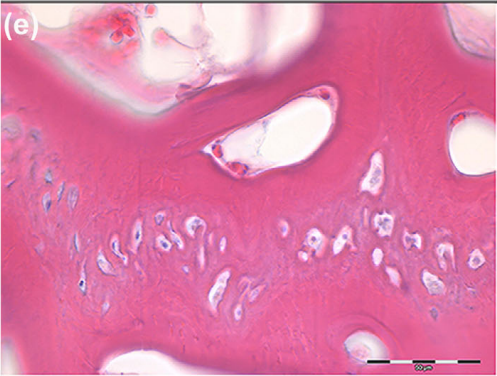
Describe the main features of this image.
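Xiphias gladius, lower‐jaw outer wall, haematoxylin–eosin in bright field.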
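A lamina of dense pink calcified bone matrix crossed by a band of fibroblast-like cells lying in small clear lacunae. The cells are irregular and elongated with small dark nuclei, and the lacunae have smooth rather than scalloped outlines; a few larger clear spaces lie in the matrix nearby.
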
